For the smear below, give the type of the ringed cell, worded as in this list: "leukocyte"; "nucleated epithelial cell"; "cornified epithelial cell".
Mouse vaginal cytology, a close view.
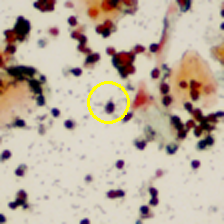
leukocyte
